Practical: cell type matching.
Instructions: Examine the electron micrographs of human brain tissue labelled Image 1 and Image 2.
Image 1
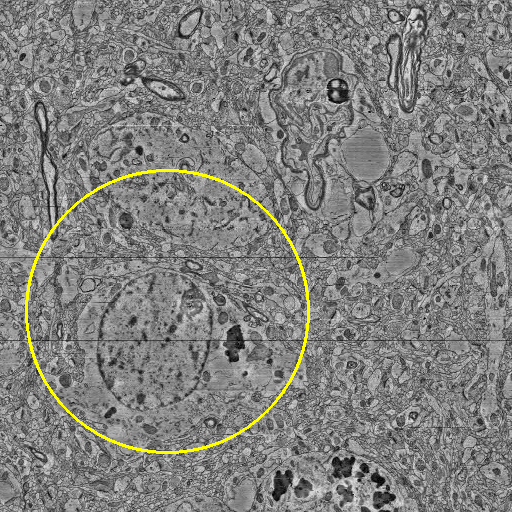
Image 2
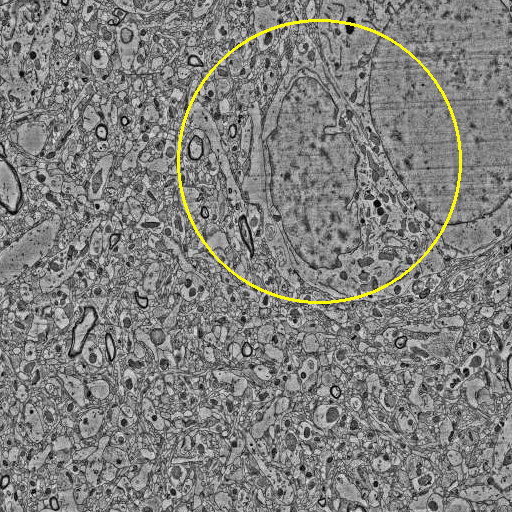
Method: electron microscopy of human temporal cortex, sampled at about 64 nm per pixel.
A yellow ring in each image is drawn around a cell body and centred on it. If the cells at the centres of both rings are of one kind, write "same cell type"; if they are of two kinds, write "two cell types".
two cell types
